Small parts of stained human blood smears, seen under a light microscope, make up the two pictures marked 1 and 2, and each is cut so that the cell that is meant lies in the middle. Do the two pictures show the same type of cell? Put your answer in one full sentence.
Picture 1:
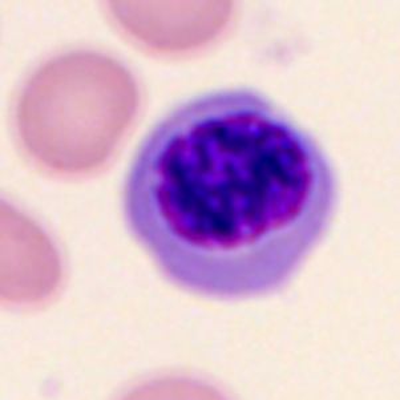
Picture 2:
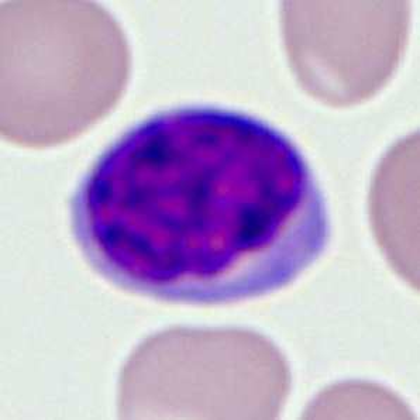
No, they differ: the cell is an erythroblast in picture 1 and a lymphocyte in picture 2.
